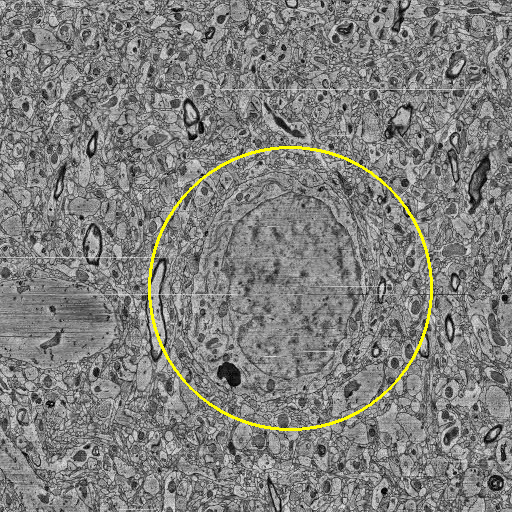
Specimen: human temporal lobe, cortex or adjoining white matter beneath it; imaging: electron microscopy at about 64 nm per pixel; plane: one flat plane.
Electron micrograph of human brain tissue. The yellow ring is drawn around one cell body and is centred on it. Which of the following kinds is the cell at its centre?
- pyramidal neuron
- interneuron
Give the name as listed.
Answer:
interneuron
